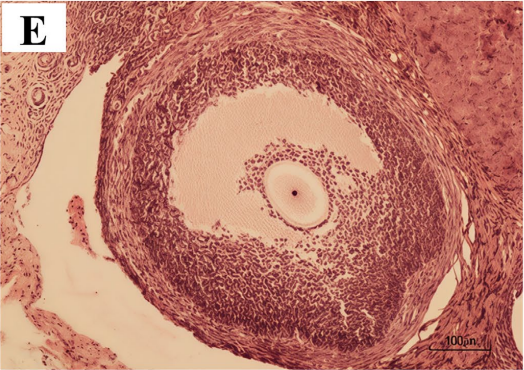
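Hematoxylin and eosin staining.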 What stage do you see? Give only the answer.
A: Preovulatorty follicle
